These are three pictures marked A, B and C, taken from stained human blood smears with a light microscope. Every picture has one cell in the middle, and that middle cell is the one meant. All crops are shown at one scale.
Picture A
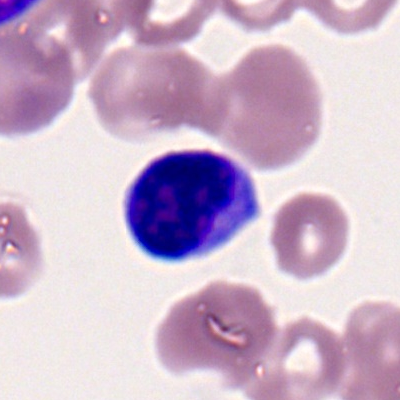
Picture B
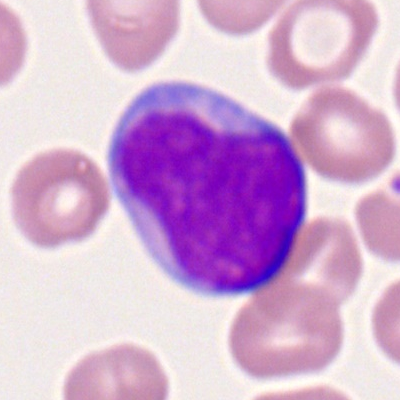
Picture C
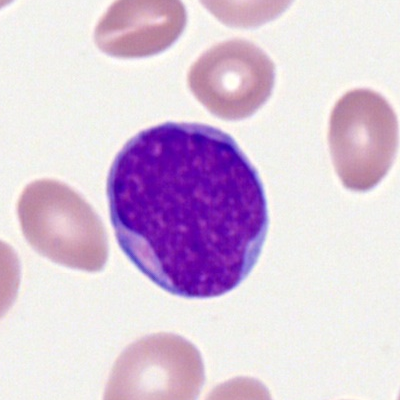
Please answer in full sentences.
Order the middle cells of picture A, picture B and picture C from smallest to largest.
Smallest first: A, C, B.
